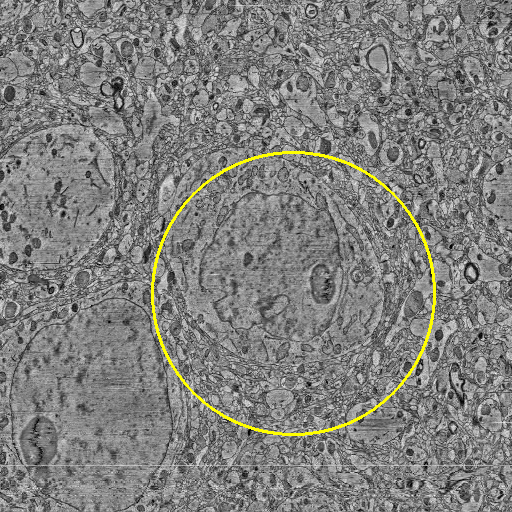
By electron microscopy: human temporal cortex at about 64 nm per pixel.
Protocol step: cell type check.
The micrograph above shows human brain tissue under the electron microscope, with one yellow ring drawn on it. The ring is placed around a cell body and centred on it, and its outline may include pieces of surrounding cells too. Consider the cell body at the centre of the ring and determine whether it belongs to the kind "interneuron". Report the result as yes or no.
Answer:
yes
